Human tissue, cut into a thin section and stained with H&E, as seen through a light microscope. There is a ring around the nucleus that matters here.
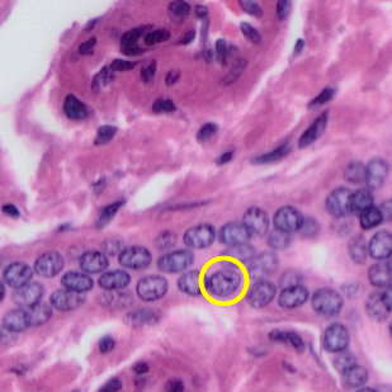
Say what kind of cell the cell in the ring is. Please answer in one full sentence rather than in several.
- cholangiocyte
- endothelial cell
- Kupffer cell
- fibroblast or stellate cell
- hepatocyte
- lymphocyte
As far as its identity is concerned, the cell in the ring is a cholangiocyte.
